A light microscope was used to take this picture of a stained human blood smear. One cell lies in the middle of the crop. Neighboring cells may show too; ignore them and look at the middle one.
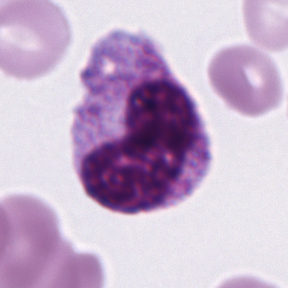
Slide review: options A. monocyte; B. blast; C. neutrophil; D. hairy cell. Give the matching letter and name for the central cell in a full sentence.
The cell at the centre is a monocyte, and option A accordingly is correct.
